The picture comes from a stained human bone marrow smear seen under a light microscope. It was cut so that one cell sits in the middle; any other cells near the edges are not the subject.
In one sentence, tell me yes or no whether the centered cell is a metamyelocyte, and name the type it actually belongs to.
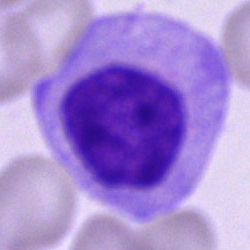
Yes, this crop has a metamyelocyte at its centre.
